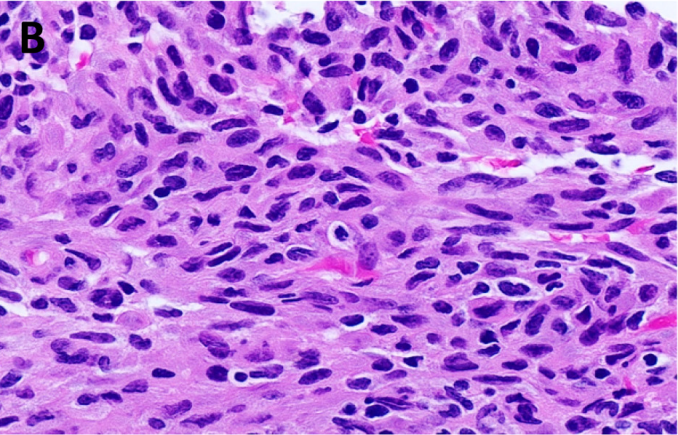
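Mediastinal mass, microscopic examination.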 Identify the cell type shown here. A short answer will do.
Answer: malignant spindle cells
